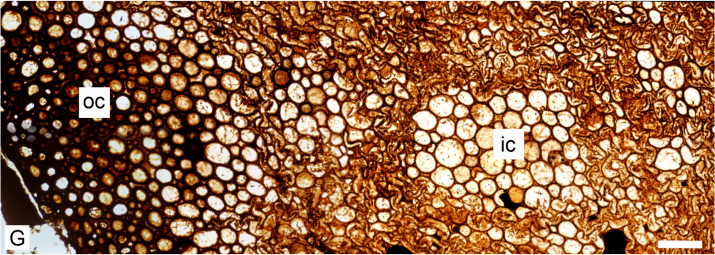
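A fossil cortex in cross section, with cells that change in size from one side to the other. At the right lie large, rounded, thin-walled cells, empty and pale, grouped in a patch. Between them and the left edge many cells are crumpled and folded into wavy walls, showing compression. Toward the left the cells become steadily smaller and rounder, with thicker, darker walls, packed closely together. No sharp boundary separates the two kinds; the change is gradual. These are large thin-walled inner cortical cells grading into small thick-walled outer cortical cells.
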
